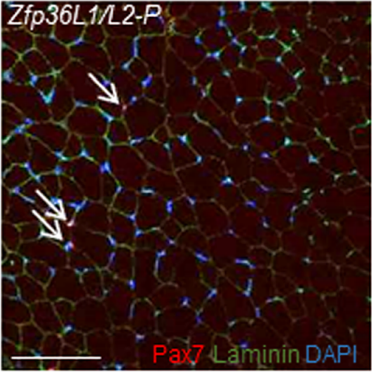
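This transverse section of skeletal muscle shows closely packed muscle fibres cut across, with only a few satellite cells. The fibre profiles here look relatively small and numerous in the field. Blue nuclei lie along the fibre borders, often where several fibres meet.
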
